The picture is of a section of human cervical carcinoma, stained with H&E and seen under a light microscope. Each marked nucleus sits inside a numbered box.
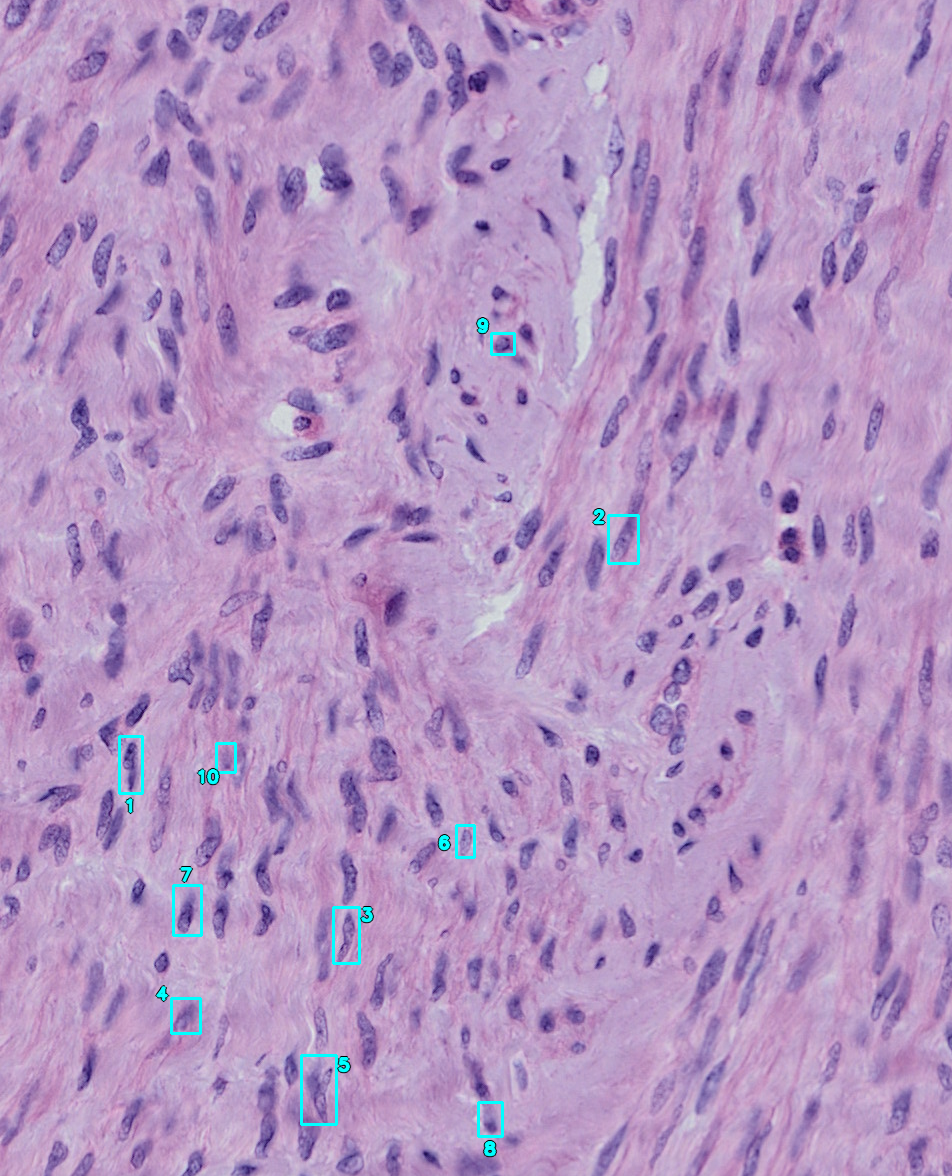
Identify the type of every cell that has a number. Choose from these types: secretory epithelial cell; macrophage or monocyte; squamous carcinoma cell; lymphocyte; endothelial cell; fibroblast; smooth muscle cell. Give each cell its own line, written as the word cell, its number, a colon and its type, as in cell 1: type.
cell 1: fibroblast
cell 2: smooth muscle cell
cell 3: smooth muscle cell
cell 4: smooth muscle cell
cell 5: fibroblast
cell 6: smooth muscle cell
cell 7: fibroblast
cell 8: fibroblast
cell 9: smooth muscle cell
cell 10: smooth muscle cell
